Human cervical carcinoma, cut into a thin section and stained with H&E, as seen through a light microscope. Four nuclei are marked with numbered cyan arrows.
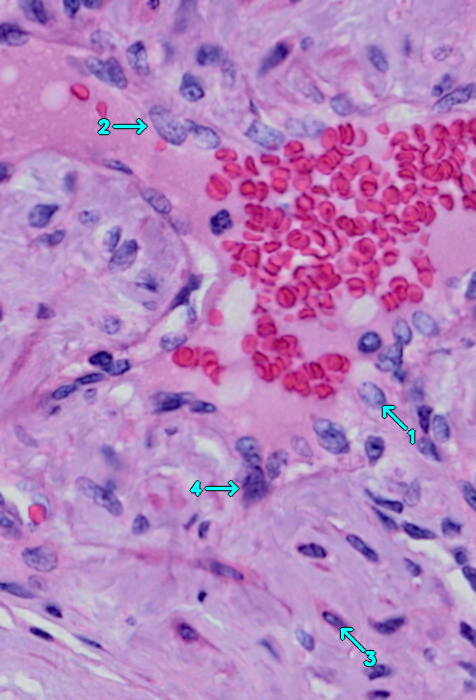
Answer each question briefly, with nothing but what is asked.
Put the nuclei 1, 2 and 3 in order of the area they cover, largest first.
2, 1, 3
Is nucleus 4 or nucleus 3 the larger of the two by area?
4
